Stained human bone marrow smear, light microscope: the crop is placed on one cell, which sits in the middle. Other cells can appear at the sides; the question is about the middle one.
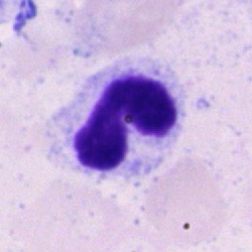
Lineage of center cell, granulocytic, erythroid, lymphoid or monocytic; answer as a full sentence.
The centrally placed cell is assigned to the granulocytic lineage.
